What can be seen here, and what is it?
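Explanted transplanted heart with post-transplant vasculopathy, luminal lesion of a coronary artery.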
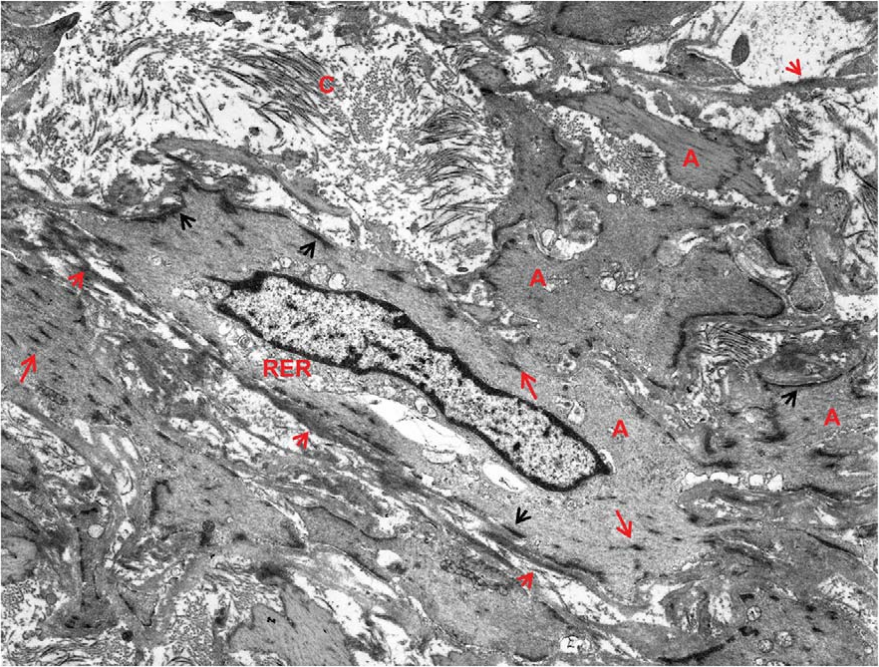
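A spindle-shaped myofibroblast lies in the middle of the field, with a long narrow nucleus that has a dark rim of condensed chromatin. The cytoplasm is packed with fine filaments running along the cell's length, in which small dark elongated dense bodies are scattered. Dark dense plaques line stretches of the cell membrane. In the upper left lies loose extracellular matrix with banded collagen fibrils cut both lengthwise and across.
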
